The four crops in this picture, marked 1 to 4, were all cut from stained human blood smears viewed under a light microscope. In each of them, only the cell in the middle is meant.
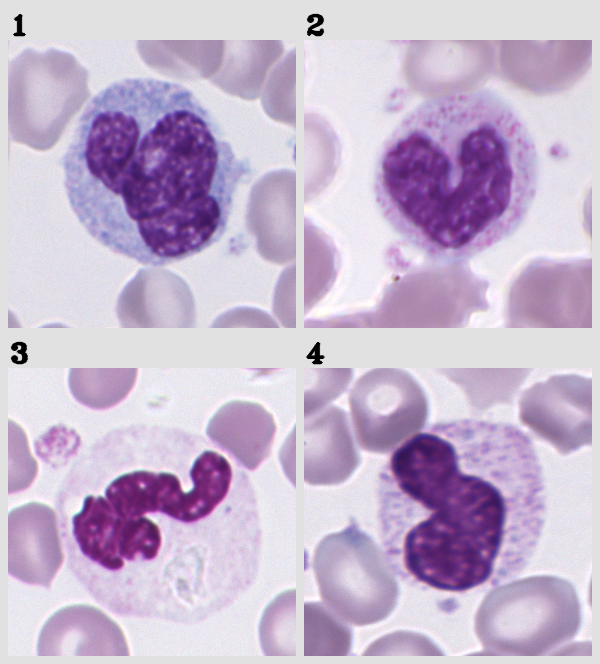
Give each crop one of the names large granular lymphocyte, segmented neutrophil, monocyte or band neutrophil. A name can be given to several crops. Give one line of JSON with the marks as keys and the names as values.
{"1": "monocyte", "2": "band neutrophil", "3": "segmented neutrophil", "4": "band neutrophil"}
